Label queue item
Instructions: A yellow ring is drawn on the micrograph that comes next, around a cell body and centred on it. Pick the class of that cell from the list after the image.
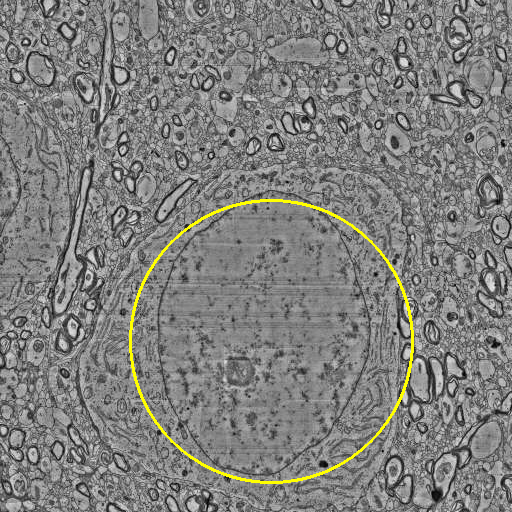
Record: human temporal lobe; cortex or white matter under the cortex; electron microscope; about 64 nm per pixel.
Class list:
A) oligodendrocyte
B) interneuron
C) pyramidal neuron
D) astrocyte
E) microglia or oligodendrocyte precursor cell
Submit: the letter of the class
C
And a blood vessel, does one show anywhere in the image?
No, the image shows no blood vessel.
